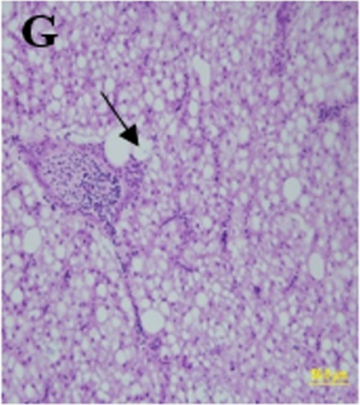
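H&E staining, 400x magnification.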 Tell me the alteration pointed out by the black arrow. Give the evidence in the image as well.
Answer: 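Large vacuoles. Many clear round spaces fill the pale pink cytoplasm throughout the tissue.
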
